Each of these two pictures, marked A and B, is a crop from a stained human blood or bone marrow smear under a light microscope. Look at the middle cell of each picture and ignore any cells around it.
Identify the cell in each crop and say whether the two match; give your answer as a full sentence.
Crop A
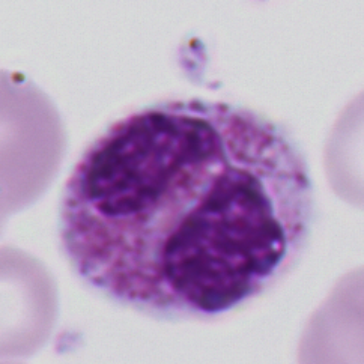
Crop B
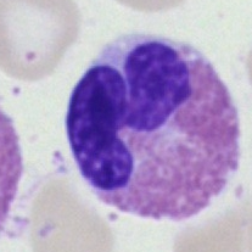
Yes, the cells at the centre of the two crops are both eosinophils.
